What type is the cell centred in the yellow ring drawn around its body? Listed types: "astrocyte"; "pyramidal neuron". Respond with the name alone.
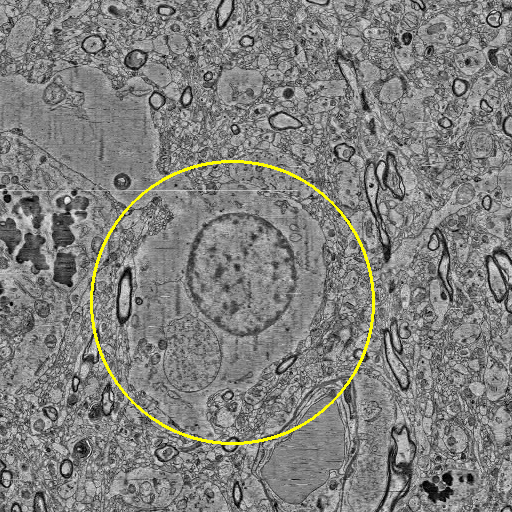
astrocyte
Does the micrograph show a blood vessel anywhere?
Yes, a vessel shows somewhere in the image.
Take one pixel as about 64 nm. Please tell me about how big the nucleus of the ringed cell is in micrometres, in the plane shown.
In this plane the nucleus is about 8 micrometres by 7.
